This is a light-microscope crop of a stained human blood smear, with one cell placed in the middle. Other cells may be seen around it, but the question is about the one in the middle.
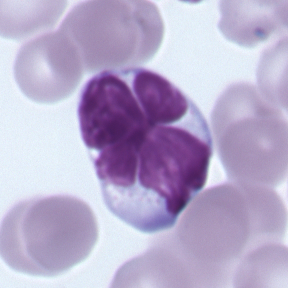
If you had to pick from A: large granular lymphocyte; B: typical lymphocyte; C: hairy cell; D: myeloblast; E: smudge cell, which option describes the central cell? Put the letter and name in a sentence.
The cell shown centrally is a large granular lymphocyte; option A is the correct option.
